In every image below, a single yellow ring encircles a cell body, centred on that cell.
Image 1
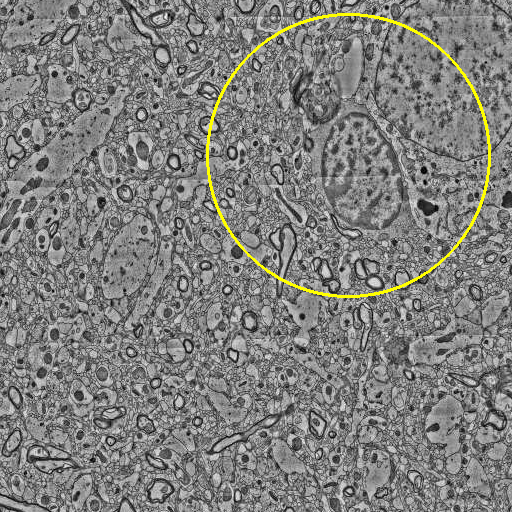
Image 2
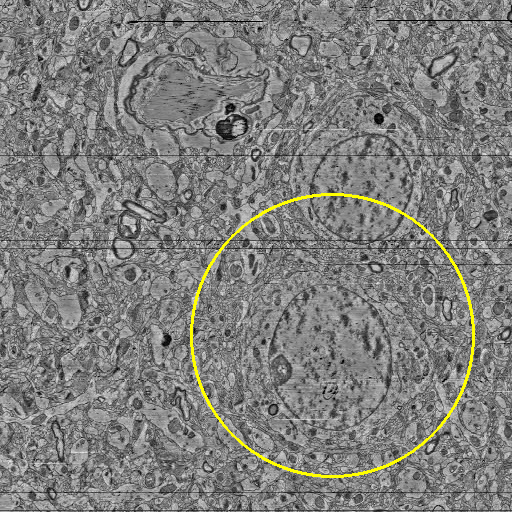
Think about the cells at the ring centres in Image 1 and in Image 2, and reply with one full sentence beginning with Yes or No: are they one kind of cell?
No, the cells centred in the rings of Image 1 and Image 2 are two kinds of cell.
